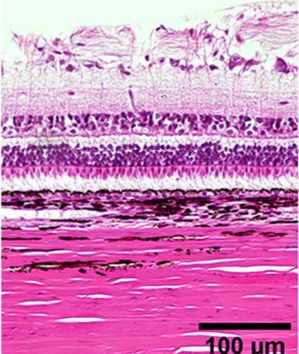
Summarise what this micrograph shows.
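The uppermost part is pale and loosely textured, with scattered cells and wispy fibres. Below it lies a band of purple nuclei, then a denser band of closely packed nuclei of the photoreceptors, followed by a pale, finely striated zone of their outer segments. This zone touches a dark line of brown-black pigment, and beneath it loose tissue with many more pigmented cells. The bottom of the picture is dense, wavy, deep pink fibrous tissue with sparse flattened nuclei.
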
